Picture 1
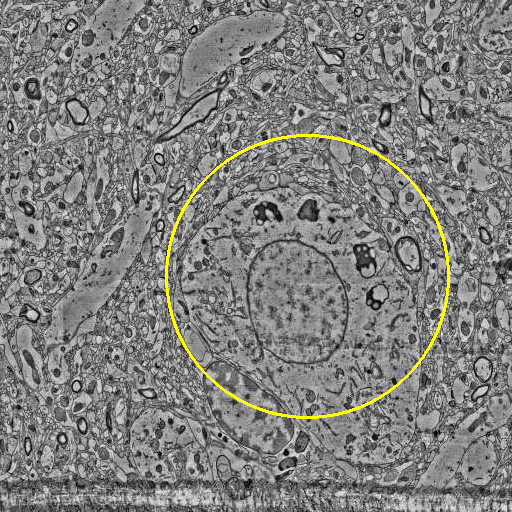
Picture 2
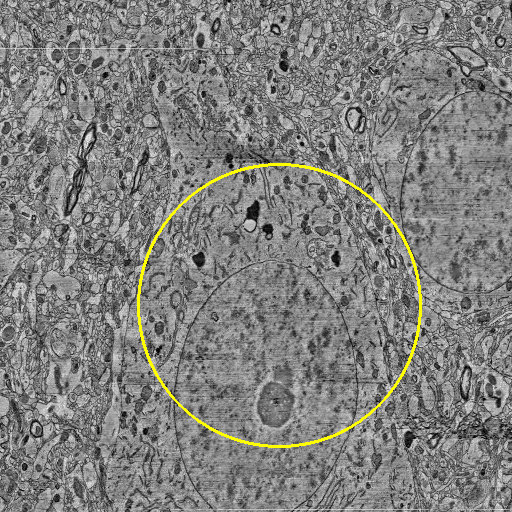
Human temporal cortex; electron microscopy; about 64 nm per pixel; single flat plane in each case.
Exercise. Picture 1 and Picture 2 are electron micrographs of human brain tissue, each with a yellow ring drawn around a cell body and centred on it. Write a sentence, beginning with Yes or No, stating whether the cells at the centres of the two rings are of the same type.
Yes, the cells at the centres of both rings are of the same type.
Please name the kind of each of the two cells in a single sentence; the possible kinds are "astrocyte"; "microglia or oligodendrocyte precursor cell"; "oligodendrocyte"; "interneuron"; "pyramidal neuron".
The cell at the ring centre is a pyramidal neuron in both pictures.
